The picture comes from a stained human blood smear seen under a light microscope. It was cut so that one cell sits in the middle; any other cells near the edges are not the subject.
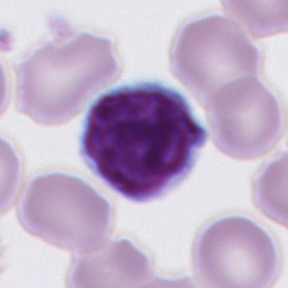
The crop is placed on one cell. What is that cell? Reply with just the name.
typical lymphocyte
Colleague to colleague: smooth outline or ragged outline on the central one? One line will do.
An irregular outline, ragged or marked by projections, surrounds this cell.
